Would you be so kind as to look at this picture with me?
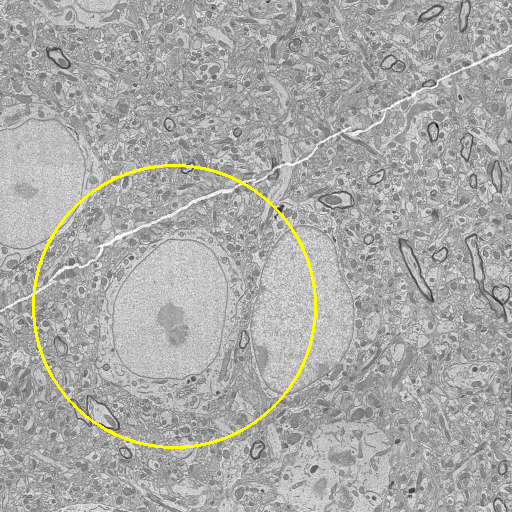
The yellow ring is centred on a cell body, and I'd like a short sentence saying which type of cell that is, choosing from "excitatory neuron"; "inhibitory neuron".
The cell body in the ring belongs to an excitatory neuron.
